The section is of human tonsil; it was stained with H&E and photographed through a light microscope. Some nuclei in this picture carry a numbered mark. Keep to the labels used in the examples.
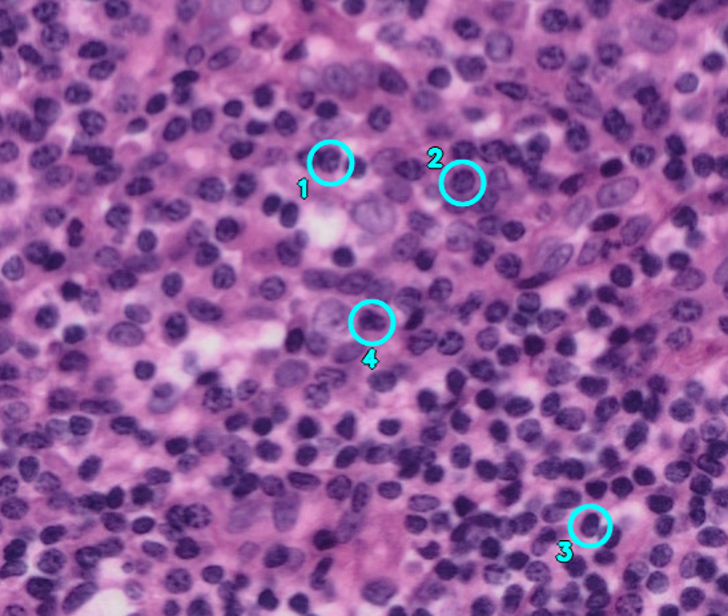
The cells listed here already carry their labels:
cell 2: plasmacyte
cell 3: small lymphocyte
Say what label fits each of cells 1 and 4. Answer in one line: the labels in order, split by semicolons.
plasmacyte; plasmacyte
